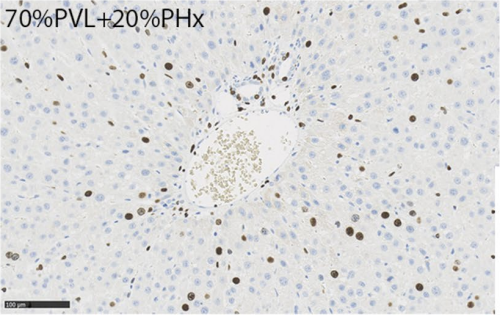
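Liver tissue with hepatocytes in cords radiating from a central vessel that is filled with pale-brownish red blood cells. Numerous round hepatocyte nuclei are stained brown, many of them large and dark, scattered among blue-counterstained nuclei. Besides these, small elongated brown nuclei sit between the cords, along the sinusoids and around the vessel wall, belonging to smaller cells lining these spaces.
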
